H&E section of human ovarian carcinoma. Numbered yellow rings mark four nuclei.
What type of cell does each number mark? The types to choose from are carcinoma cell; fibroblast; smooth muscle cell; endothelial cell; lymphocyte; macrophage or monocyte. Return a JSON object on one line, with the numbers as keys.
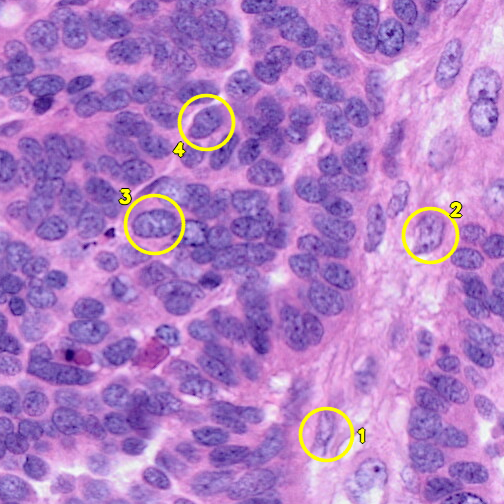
{"1": "fibroblast", "2": "fibroblast", "3": "carcinoma cell", "4": "carcinoma cell"}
